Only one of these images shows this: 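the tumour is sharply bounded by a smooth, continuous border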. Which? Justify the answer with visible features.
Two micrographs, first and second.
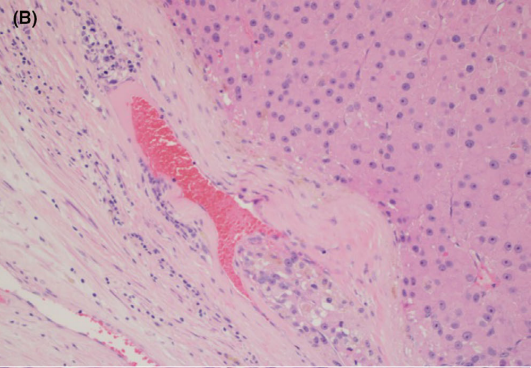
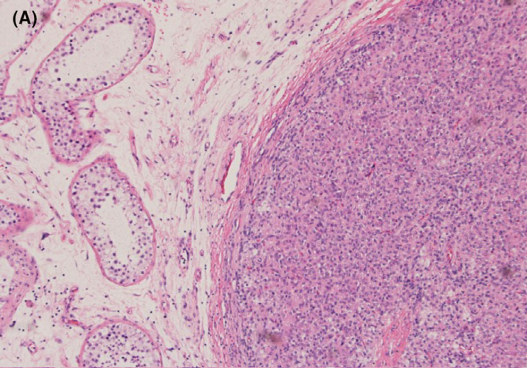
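First image: the tumour edge against the stroma is wavy and uneven. Second image: the tumour nodule is separated from the surrounding tissue by a smooth fibrous band. So: the second image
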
